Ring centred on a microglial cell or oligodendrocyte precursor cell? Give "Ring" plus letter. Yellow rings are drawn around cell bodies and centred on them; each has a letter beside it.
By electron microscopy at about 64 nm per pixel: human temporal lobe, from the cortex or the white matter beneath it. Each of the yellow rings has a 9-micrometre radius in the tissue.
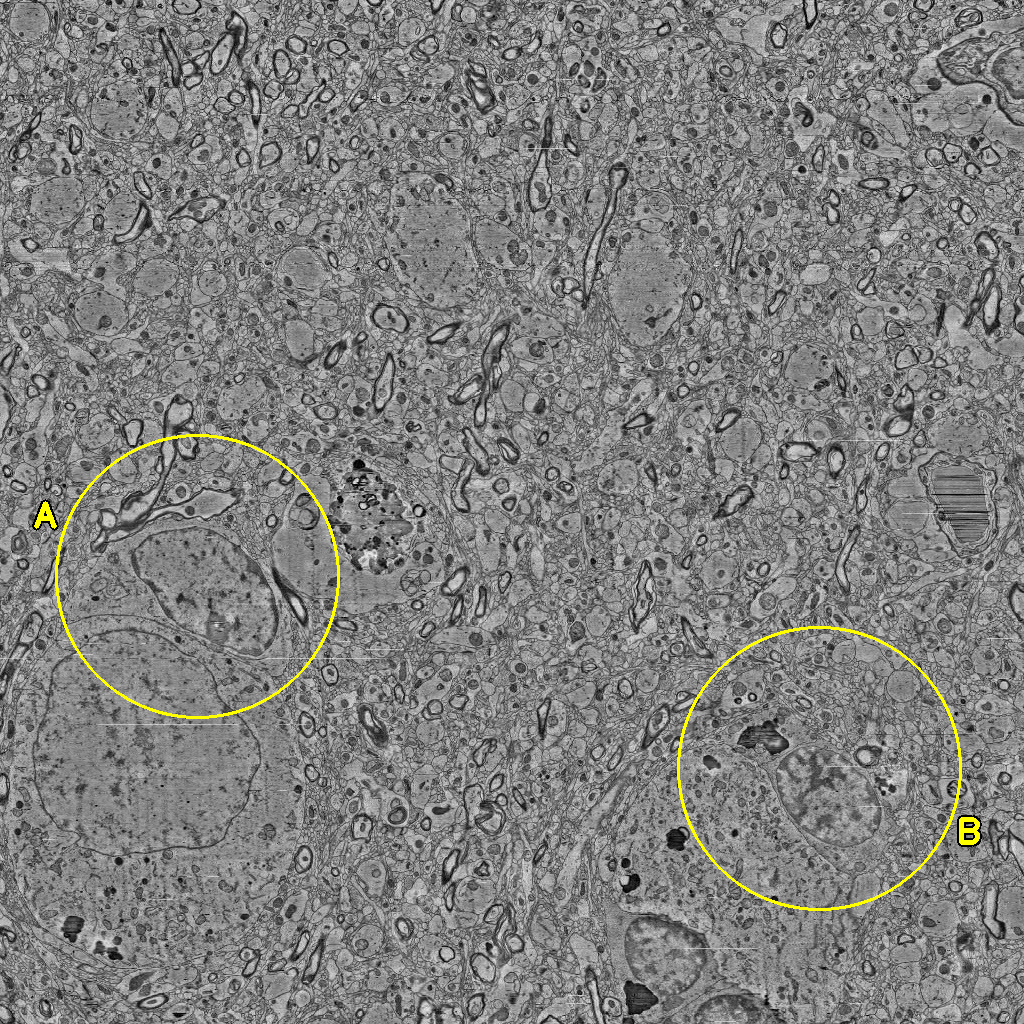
Ring A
